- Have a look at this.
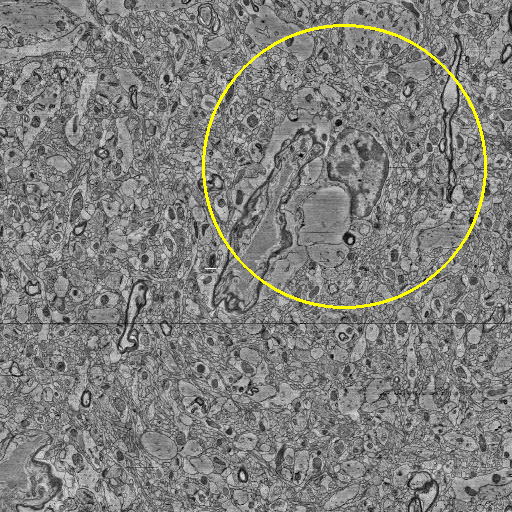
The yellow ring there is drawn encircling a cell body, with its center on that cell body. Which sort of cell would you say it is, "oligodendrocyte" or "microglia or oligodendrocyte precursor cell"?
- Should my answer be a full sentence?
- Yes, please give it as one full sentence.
For this picture, a microglial cell or oligodendrocyte precursor cell is the cell where the yellow ring has its center.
